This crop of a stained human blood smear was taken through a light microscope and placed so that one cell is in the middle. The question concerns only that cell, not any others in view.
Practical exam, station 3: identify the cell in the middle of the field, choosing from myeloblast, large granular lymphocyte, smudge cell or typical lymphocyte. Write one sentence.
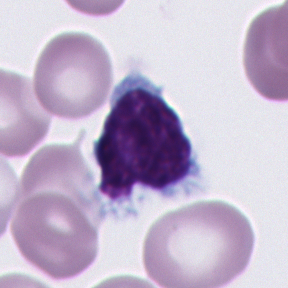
The cell at the centre of the field is a typical lymphocyte.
